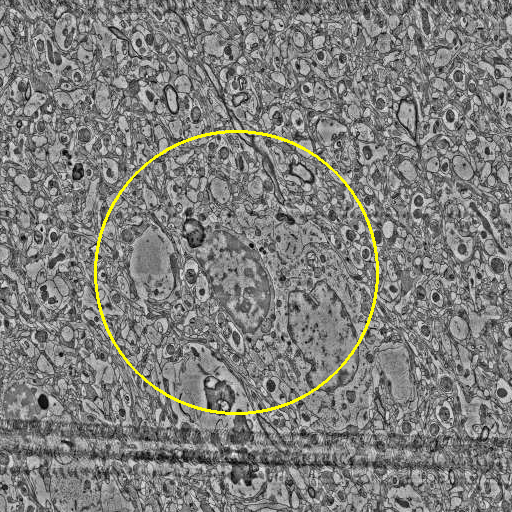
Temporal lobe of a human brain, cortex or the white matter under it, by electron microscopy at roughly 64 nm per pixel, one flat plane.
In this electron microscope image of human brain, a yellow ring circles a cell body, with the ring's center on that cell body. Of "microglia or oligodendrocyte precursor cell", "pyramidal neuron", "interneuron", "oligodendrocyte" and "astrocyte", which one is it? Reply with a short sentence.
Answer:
It is an oligodendrocyte at the center of the ring.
